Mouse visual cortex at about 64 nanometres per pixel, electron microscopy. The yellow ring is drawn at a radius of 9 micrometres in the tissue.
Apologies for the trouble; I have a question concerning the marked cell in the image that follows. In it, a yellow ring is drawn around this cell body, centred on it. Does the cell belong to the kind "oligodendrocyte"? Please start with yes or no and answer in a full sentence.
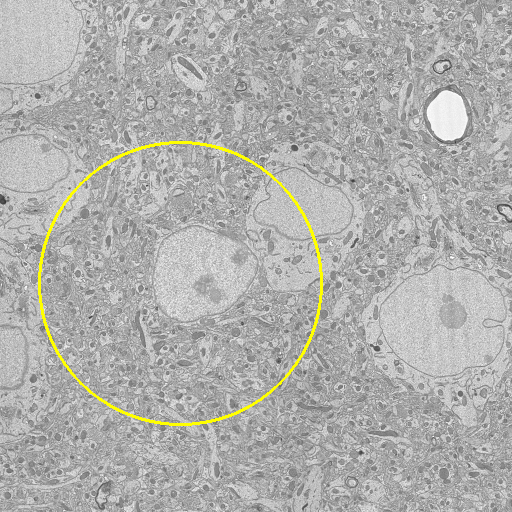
No, the ringed cell in the picture is of a different kind.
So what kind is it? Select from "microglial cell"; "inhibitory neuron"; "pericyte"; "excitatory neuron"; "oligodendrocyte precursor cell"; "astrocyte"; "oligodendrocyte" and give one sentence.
The ringed cell in this picture is, instead, an astrocyte.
